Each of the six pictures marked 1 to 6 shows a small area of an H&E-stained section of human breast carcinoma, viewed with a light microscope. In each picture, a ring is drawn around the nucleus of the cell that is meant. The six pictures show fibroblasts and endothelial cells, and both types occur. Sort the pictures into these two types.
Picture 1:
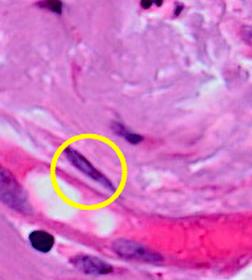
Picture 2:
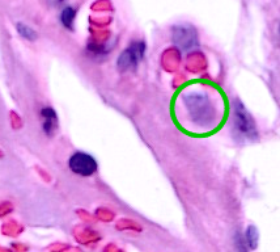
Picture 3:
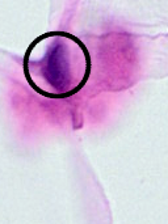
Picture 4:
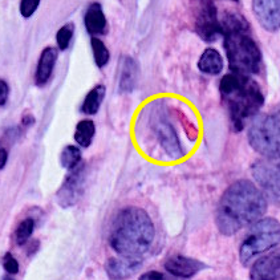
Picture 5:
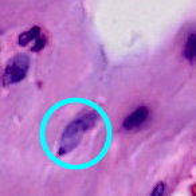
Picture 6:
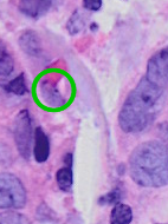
1: fibroblast
2: endothelial cell
3: fibroblast
4: endothelial cell
5: fibroblast
6: endothelial cell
